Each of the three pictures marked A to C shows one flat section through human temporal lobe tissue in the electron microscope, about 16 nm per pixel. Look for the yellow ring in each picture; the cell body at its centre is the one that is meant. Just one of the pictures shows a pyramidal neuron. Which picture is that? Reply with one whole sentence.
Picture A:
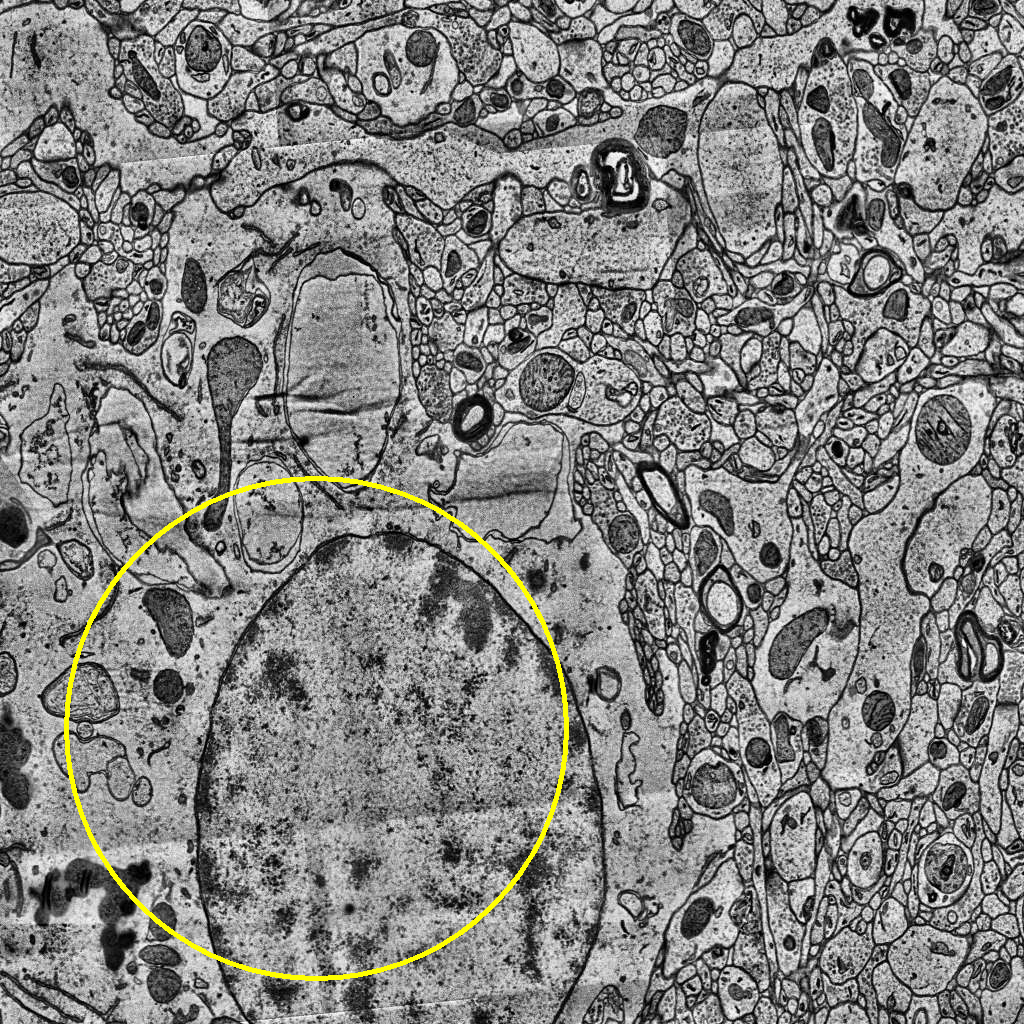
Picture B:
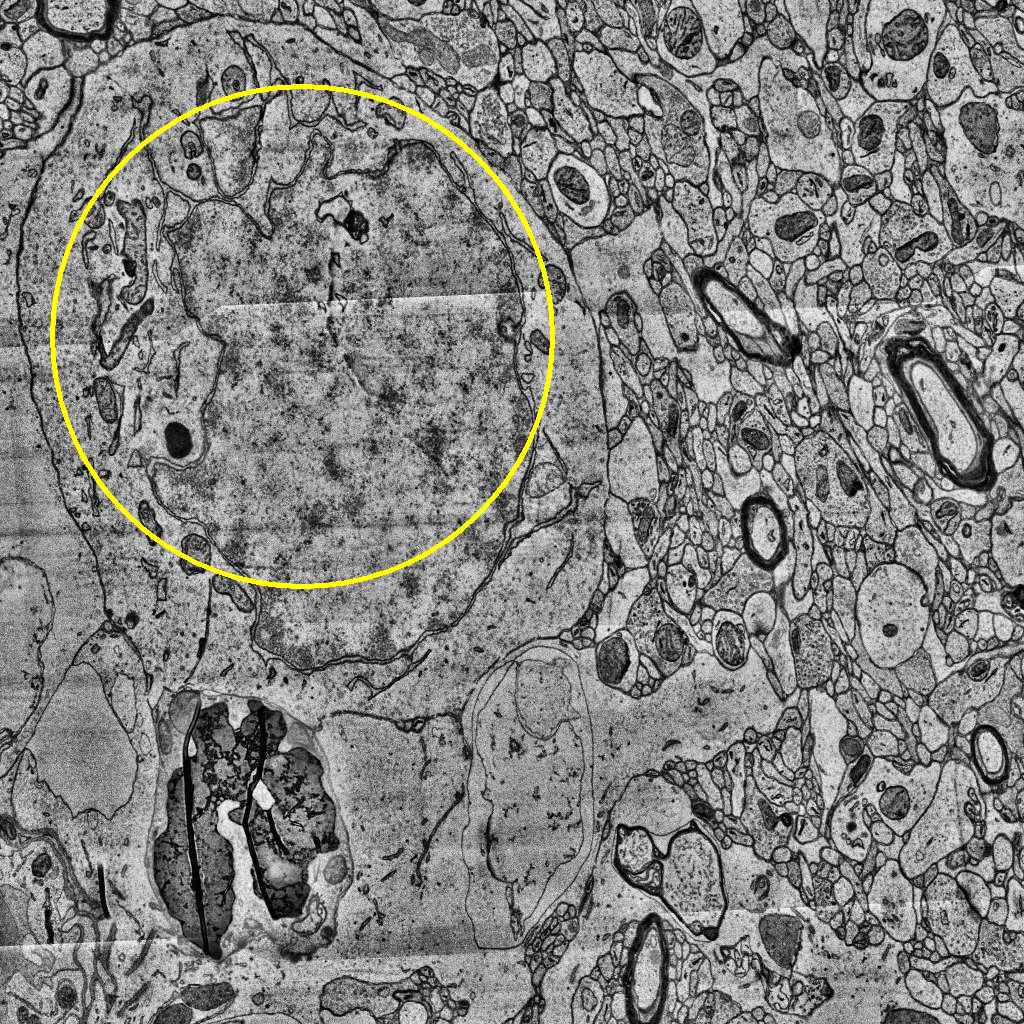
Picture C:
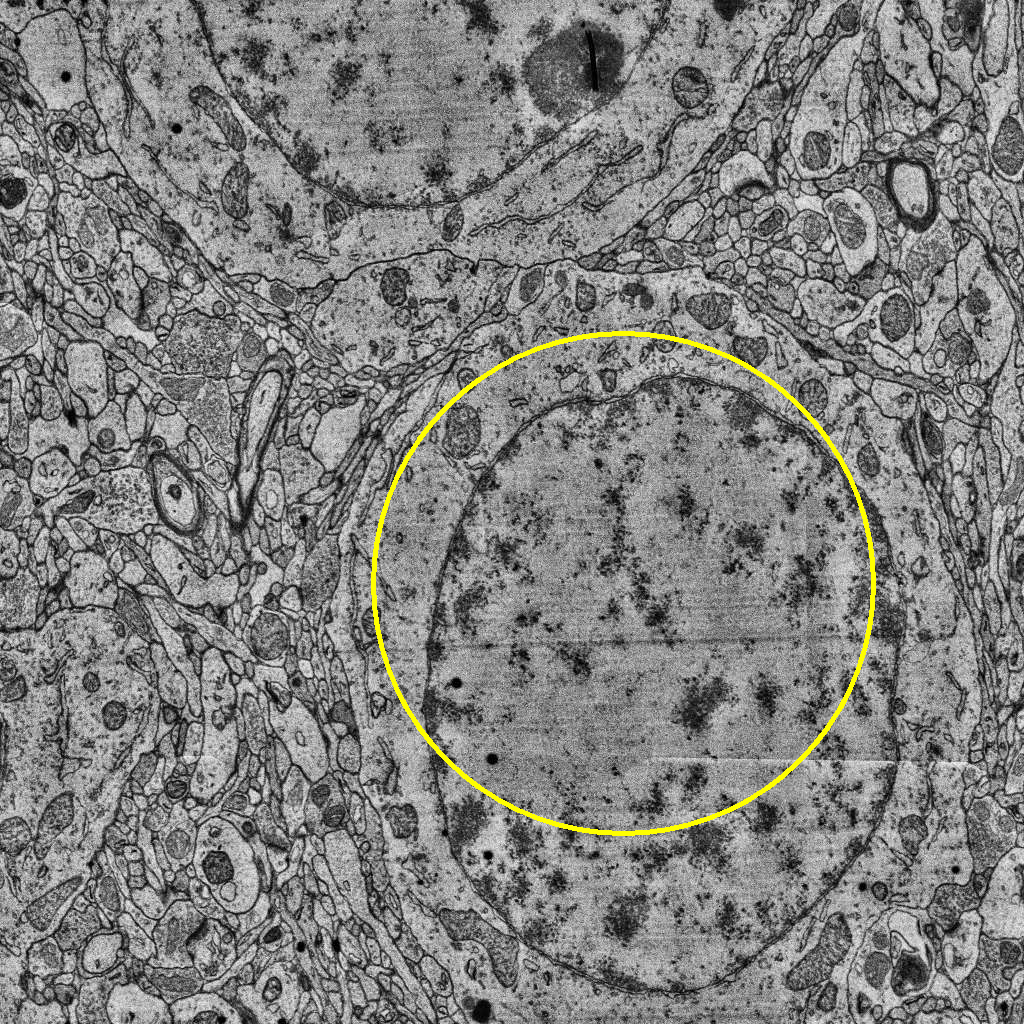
The picture with the pyramidal neuron is C.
